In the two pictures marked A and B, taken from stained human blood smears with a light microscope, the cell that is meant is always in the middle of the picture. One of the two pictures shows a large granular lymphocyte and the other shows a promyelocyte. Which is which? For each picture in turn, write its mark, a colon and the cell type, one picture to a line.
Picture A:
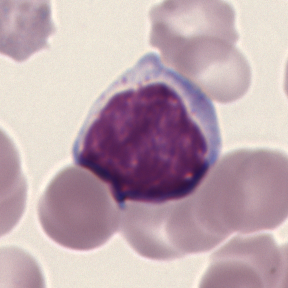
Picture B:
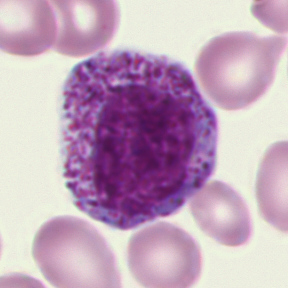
A: large granular lymphocyte
B: promyelocyte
